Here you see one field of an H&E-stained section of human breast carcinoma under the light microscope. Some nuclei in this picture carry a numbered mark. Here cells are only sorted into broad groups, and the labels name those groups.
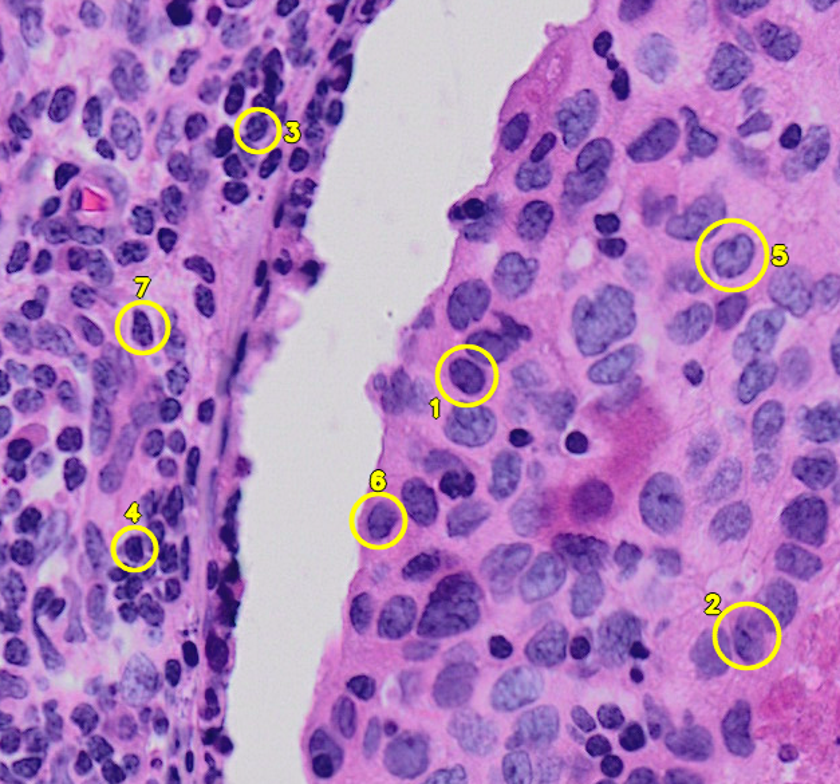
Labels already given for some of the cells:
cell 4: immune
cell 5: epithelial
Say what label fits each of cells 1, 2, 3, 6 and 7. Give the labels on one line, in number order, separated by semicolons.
epithelial; epithelial; immune; epithelial; immune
